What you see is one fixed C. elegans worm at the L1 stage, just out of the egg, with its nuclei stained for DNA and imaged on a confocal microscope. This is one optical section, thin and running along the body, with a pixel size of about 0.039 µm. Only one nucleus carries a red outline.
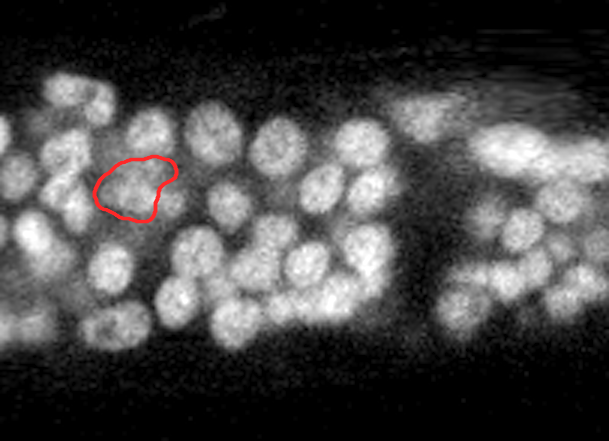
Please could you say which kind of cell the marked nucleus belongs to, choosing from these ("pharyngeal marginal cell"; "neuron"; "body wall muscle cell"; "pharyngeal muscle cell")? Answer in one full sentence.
This nucleus is from a pharyngeal marginal cell.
